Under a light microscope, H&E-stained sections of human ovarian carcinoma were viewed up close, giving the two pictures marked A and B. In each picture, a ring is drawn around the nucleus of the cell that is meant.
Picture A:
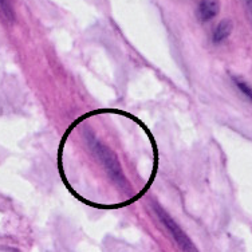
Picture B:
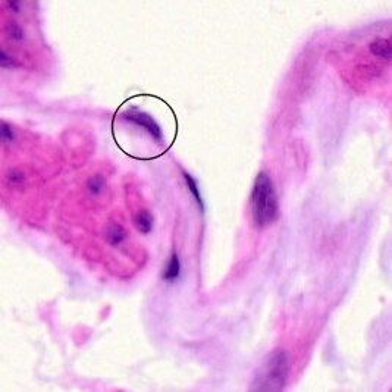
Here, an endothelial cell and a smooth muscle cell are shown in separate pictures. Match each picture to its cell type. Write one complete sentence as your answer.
Picture A shows a smooth muscle cell and picture B shows an endothelial cell.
